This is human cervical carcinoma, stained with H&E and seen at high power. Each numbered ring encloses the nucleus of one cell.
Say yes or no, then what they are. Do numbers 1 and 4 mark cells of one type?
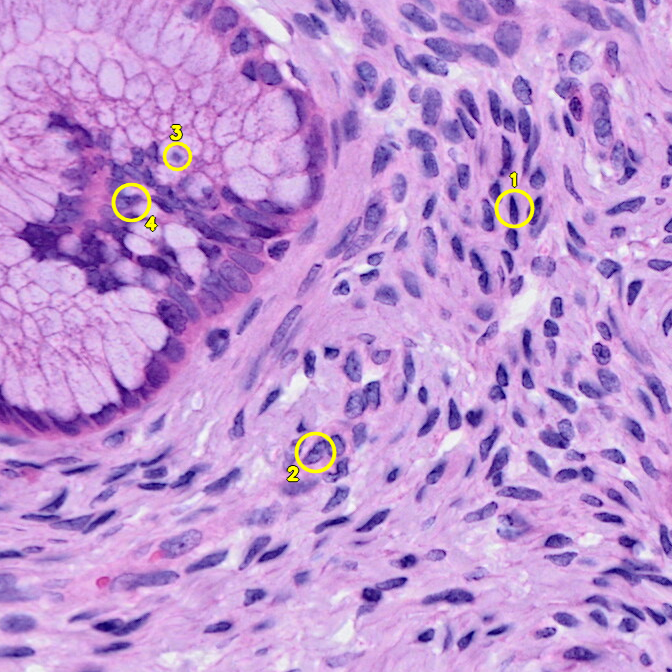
No, whereas cell 4 is a secretory epithelial cell, cell 1 is a fibroblast.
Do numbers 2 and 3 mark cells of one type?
No, cell 2 here is an endothelial cell and cell 3 here is a secretory epithelial cell.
